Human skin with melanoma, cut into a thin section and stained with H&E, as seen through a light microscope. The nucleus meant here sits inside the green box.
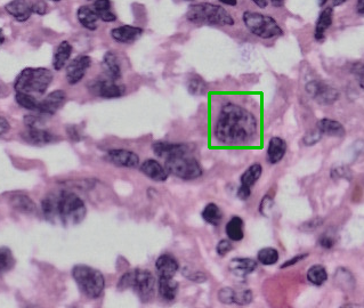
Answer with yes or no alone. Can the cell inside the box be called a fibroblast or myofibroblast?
no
